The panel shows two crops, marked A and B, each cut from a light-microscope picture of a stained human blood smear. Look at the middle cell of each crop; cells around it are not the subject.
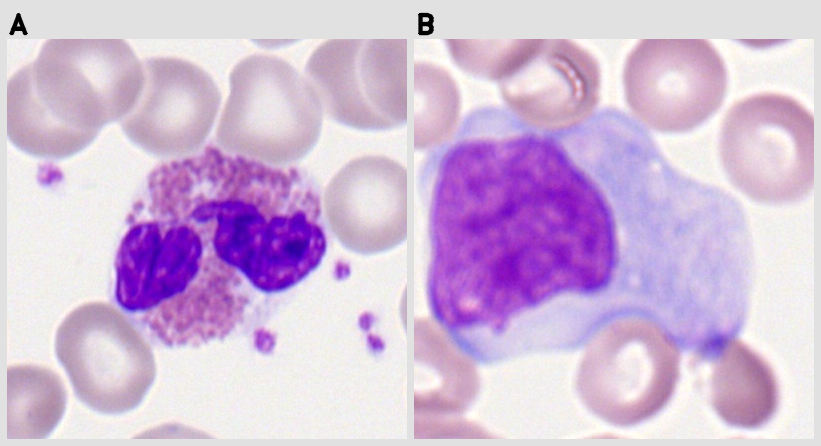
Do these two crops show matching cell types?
no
